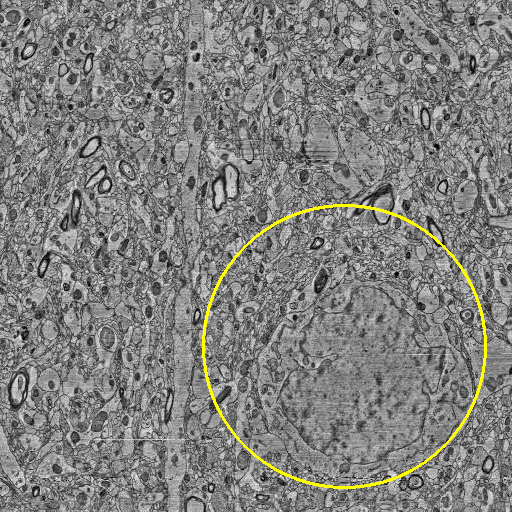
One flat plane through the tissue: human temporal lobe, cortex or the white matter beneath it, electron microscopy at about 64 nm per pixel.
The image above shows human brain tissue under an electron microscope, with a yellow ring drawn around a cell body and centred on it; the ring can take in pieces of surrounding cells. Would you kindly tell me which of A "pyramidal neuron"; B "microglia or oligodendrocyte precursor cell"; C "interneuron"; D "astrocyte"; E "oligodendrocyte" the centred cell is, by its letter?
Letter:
C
